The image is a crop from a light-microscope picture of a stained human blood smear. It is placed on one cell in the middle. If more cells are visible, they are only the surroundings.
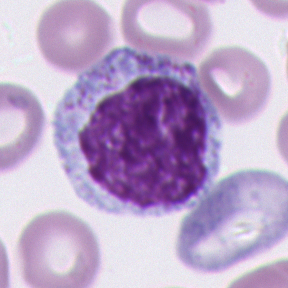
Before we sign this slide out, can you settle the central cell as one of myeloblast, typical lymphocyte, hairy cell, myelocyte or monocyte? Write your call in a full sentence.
Classified as a myelocyte is the cell in the middle of this crop.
